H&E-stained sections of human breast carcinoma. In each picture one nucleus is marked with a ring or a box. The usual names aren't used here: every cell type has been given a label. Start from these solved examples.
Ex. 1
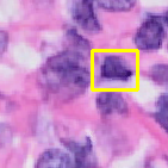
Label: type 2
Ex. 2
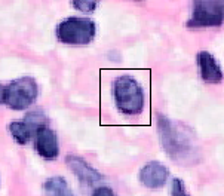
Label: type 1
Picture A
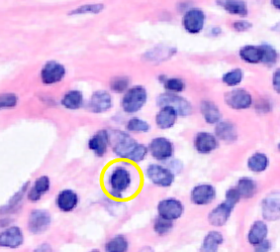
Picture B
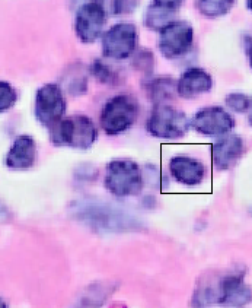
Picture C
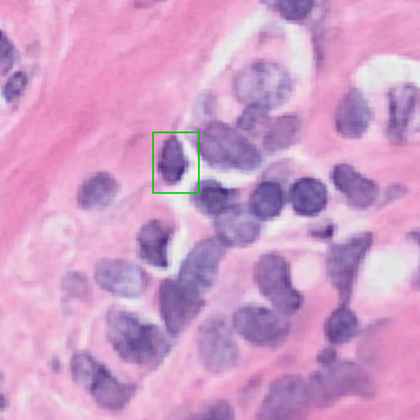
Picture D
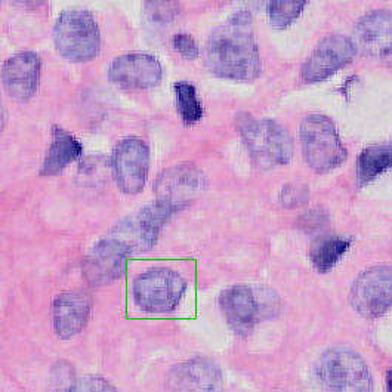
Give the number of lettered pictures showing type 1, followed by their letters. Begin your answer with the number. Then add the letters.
2, namely A, B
